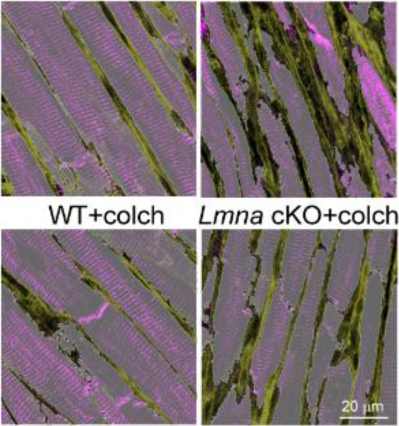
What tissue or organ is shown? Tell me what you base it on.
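Long parallel muscle fibres with fine cross-striations. Yellow-stained spaces run between the fibres.
Conclusion: cardiac tissue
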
